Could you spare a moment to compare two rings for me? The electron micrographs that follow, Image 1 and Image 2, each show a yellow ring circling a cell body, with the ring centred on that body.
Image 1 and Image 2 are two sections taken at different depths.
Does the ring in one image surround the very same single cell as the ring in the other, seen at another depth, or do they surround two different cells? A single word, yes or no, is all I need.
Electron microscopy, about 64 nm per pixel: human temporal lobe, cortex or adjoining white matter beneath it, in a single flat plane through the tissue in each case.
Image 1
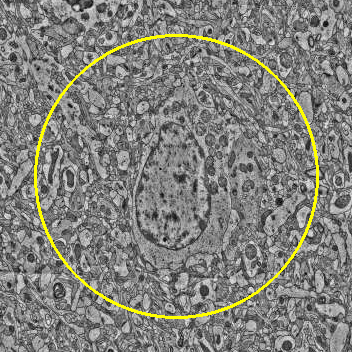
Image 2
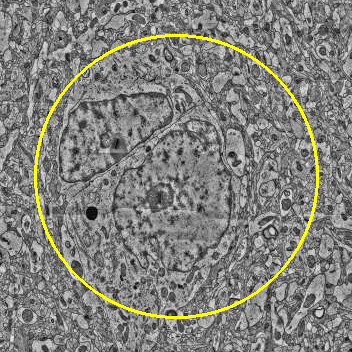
no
